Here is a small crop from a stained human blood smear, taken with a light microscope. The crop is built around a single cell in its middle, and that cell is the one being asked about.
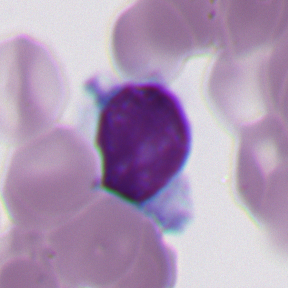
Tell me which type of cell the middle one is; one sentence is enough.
The cell marked by its central position in the crop is a typical lymphocyte.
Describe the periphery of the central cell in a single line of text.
The edge of the cell is broken up by ragged stretches or by outward projections.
